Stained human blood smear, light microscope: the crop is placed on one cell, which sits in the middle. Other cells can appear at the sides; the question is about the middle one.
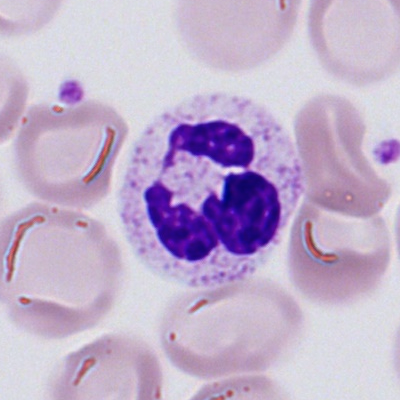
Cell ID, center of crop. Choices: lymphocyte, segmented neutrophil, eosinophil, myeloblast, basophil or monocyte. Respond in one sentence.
In the central position of this crop, the cell is a segmented neutrophil.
